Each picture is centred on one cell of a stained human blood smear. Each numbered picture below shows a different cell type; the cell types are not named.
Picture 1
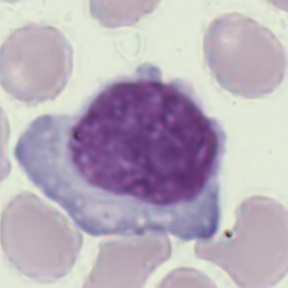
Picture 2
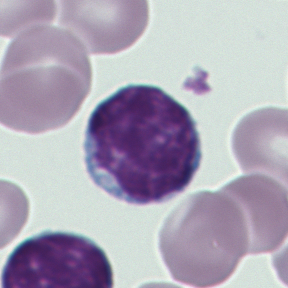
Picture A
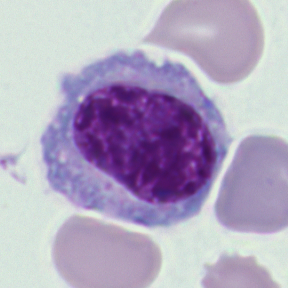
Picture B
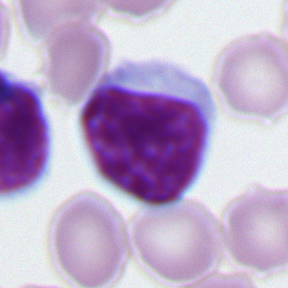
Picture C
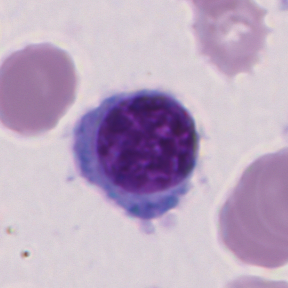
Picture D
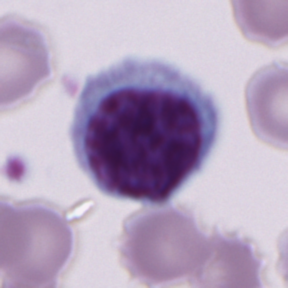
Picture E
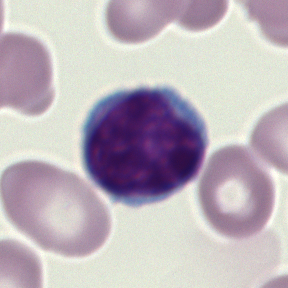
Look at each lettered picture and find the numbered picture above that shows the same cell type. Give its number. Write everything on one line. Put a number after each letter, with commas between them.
A 1, B 2, C 1, D 2, E 2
